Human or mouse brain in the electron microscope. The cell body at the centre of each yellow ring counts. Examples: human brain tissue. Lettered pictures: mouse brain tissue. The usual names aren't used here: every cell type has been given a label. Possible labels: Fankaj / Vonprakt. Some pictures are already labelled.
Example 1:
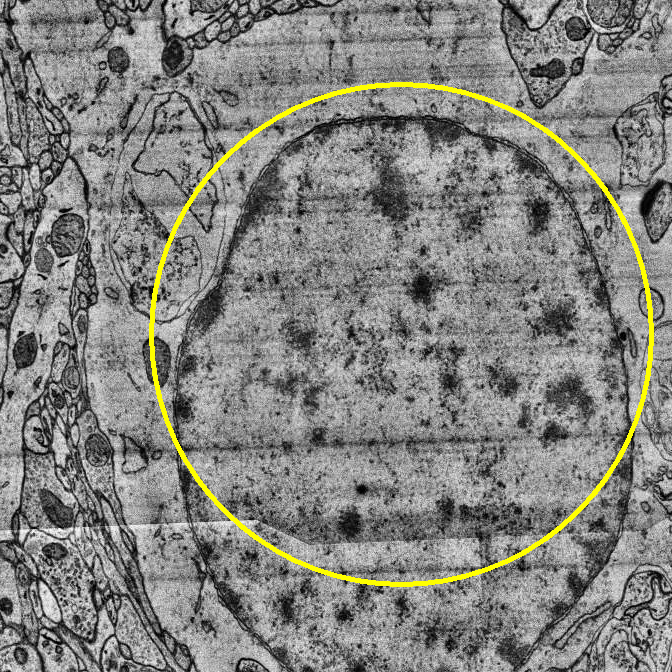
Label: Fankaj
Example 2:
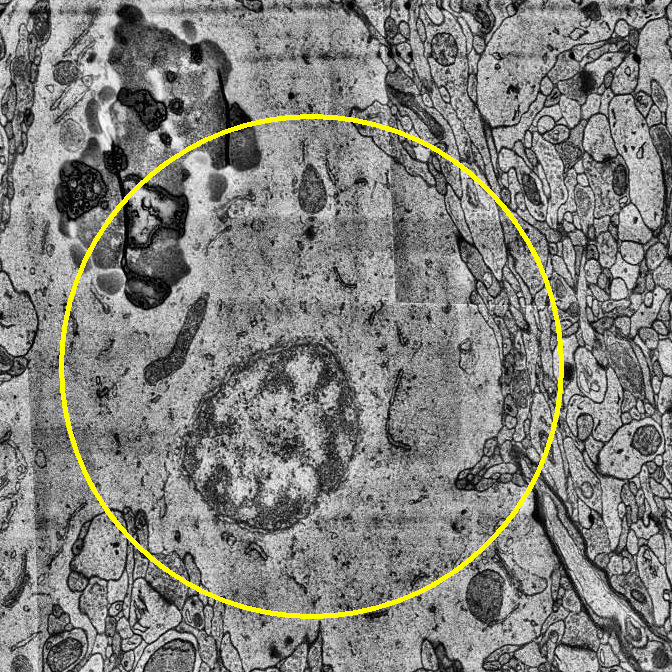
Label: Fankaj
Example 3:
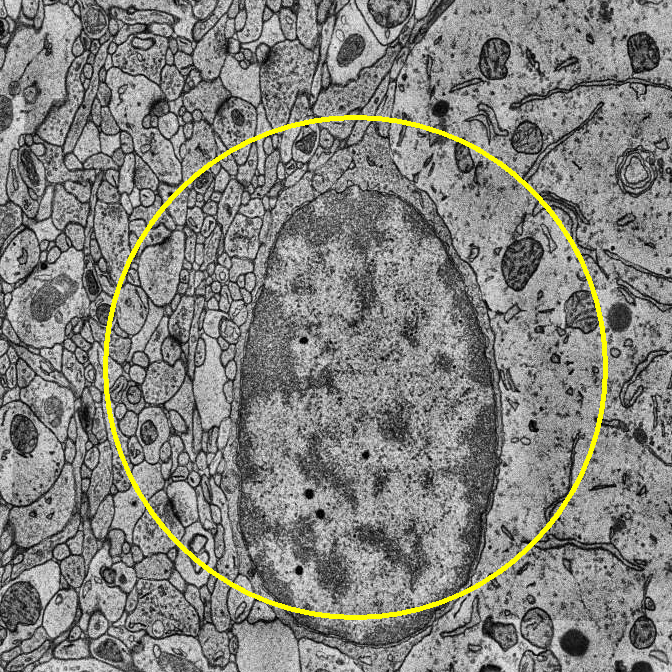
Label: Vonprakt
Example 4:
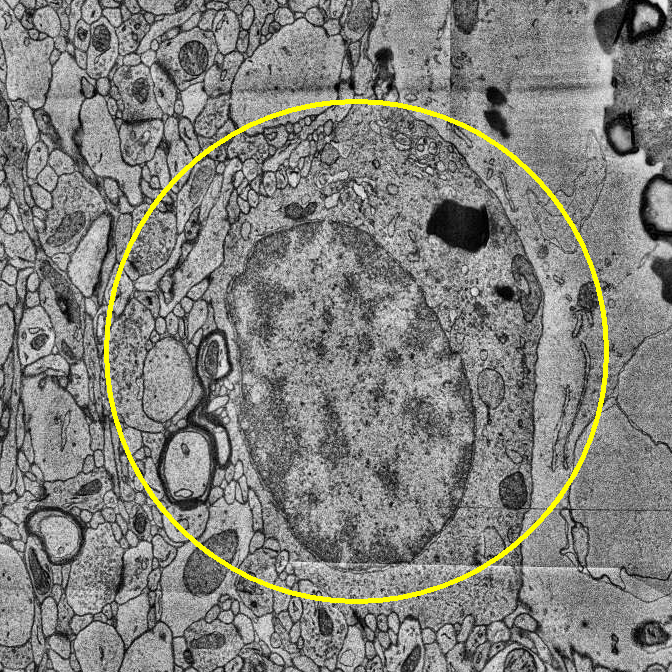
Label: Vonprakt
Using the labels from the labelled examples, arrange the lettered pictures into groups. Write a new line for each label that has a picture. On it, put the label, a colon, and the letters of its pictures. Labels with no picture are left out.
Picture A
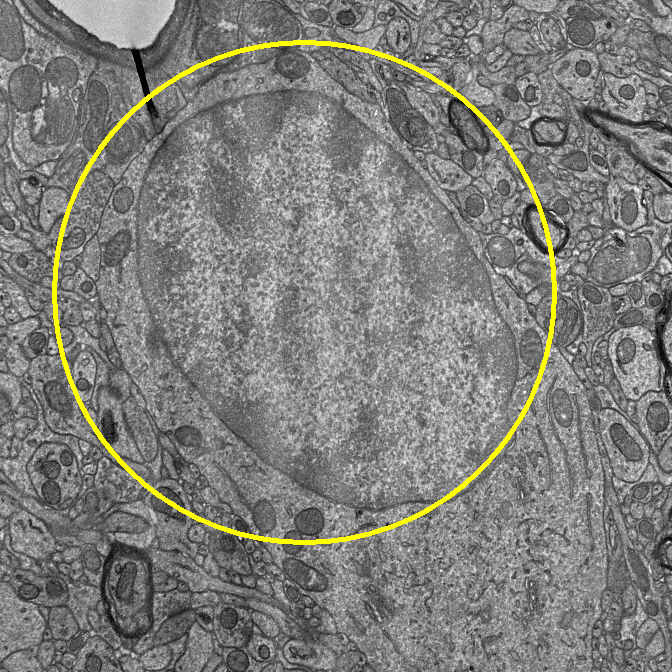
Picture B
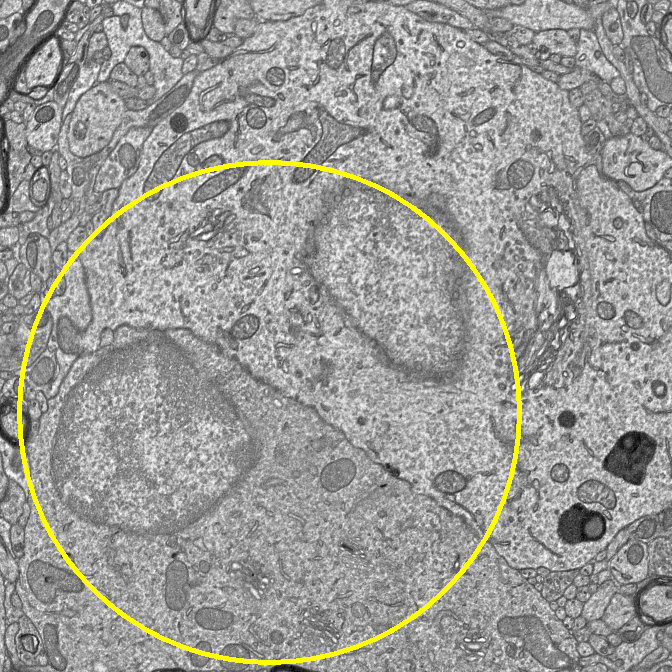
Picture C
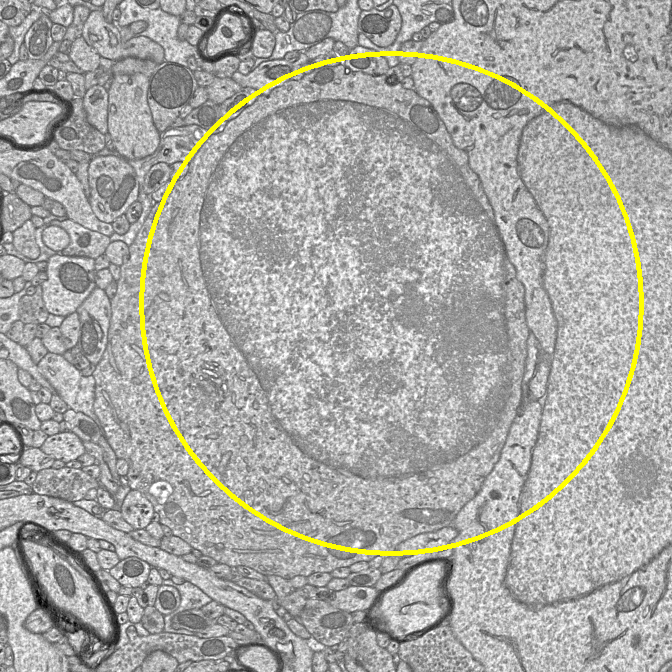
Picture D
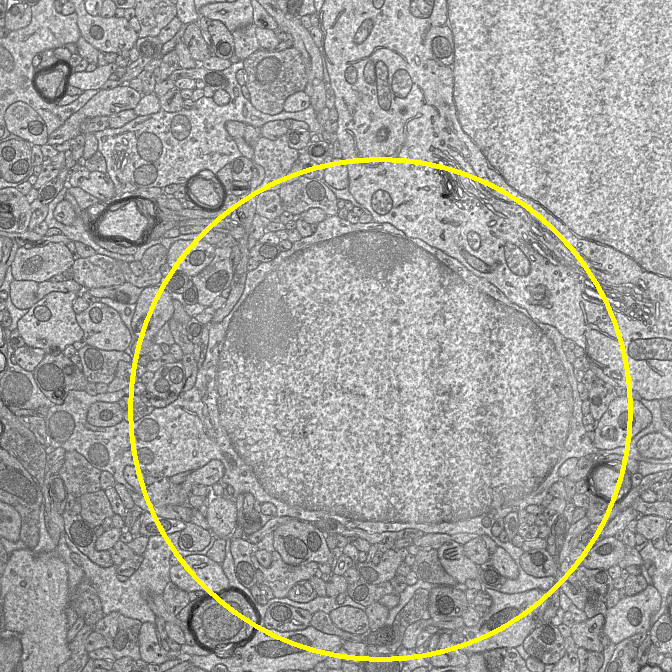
Fankaj: D
Vonprakt: A, B, C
